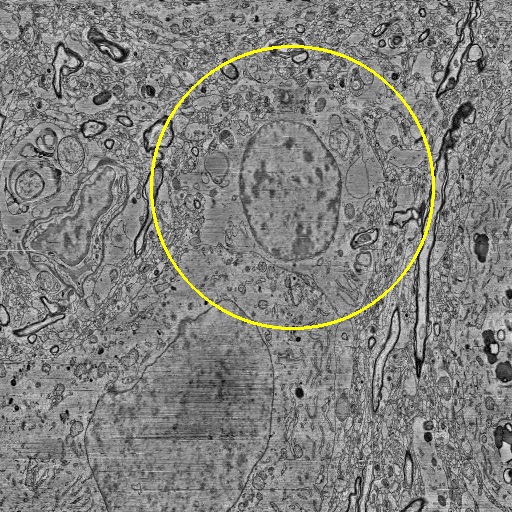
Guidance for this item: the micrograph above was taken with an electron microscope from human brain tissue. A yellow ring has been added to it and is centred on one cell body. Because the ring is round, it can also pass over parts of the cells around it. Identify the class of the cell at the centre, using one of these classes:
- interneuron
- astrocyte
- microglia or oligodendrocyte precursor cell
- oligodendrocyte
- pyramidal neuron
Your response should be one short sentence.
The ring surrounds the body of an astrocyte.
